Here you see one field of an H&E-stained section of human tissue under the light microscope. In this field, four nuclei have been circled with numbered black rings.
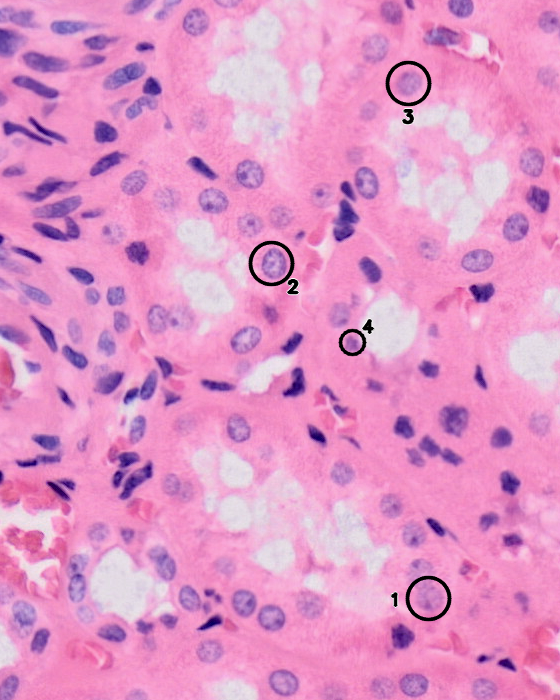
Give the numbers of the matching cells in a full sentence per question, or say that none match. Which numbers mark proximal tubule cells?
The cells numbered 1, 2 and 3 are of the kind known as proximal tubule cells.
